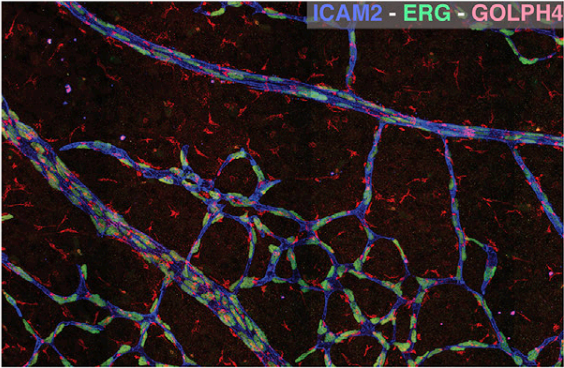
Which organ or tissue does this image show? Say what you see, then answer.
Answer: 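Two broad vessels run diagonally across the field. A meshwork of thin interconnected capillary loops lies between them. The vessels lie flat in a single plane, as in a whole-mounted sheet. So: retinal plexus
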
